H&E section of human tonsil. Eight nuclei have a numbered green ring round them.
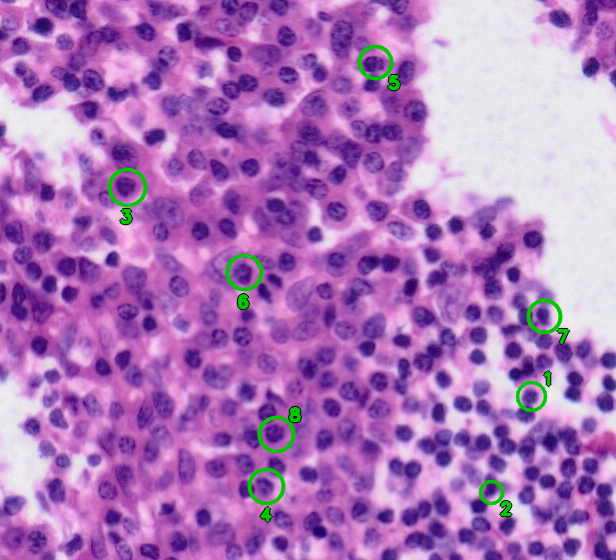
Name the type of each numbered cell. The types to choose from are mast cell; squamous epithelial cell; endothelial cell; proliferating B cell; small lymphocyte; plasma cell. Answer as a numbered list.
1. small lymphocyte
2. small lymphocyte
3. plasma cell
4. plasma cell
5. plasma cell
6. plasma cell
7. small lymphocyte
8. plasma cell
